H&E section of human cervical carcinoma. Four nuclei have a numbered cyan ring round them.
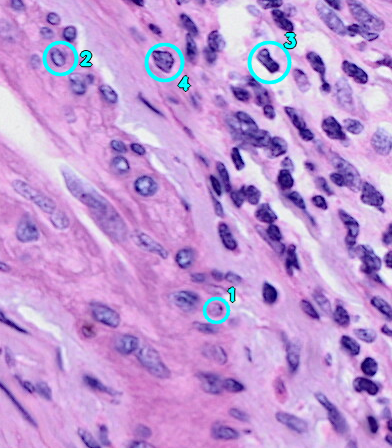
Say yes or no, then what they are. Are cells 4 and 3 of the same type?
Yes, cell number 4 and cell number 3 are both lymphocytes.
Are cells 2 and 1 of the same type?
Yes, that is right: cells 2 and 1 are both smooth muscle cells.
